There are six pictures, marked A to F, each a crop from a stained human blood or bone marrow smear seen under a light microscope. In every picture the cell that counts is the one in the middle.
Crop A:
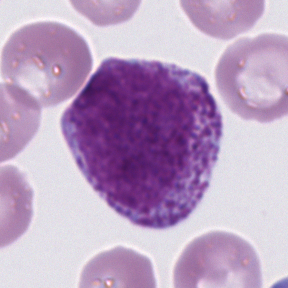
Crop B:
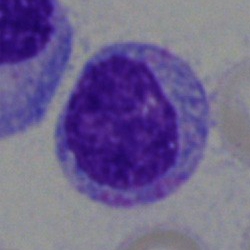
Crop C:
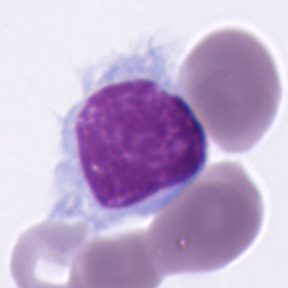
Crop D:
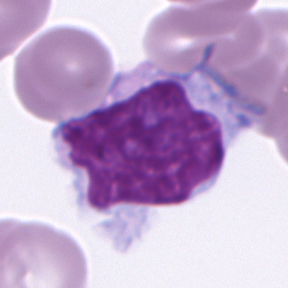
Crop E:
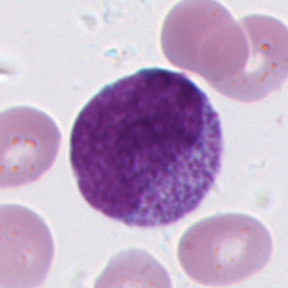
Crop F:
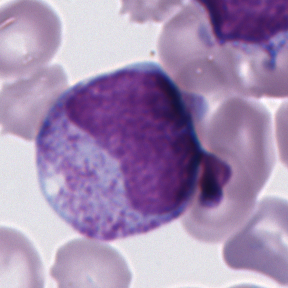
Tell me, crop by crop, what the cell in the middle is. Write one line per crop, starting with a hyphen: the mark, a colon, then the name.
- A: myelocyte
- B: myelocyte
- C: hairy cell
- D: hairy cell
- E: myelocyte
- F: myelocyte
